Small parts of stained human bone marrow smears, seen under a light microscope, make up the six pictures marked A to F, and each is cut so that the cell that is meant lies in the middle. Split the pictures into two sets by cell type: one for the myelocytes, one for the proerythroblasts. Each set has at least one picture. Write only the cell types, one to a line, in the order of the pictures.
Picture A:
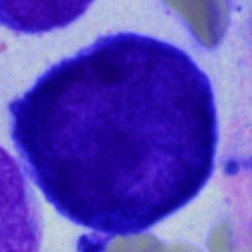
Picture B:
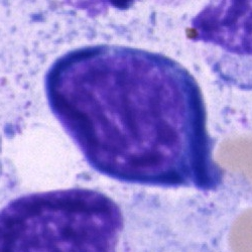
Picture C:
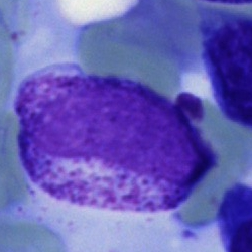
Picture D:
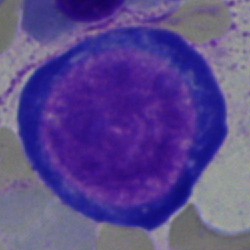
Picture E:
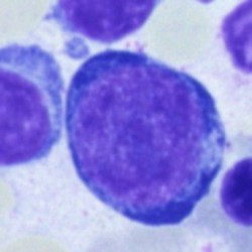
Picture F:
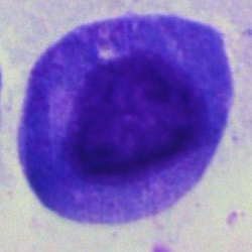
proerythroblast
proerythroblast
myelocyte
proerythroblast
proerythroblast
myelocyte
